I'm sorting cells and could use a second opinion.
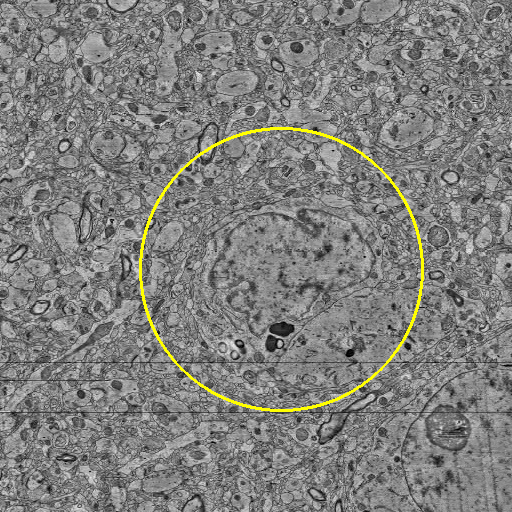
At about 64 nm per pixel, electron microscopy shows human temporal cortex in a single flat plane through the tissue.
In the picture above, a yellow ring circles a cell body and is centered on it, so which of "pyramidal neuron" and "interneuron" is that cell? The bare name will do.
interneuron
